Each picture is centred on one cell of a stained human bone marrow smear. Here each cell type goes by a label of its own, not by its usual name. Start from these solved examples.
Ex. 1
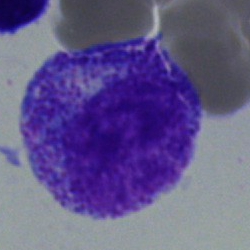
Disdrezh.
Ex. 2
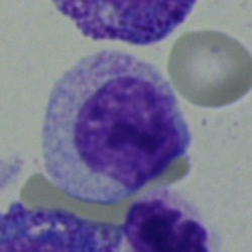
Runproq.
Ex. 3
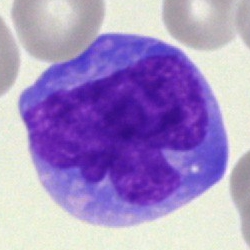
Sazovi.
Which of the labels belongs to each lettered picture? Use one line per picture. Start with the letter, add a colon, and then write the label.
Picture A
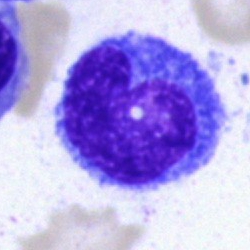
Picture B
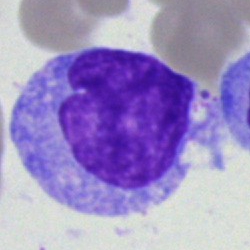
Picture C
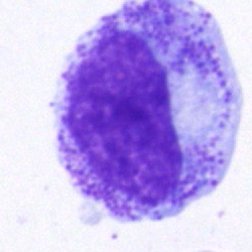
A: Sazovi.
B: Sazovi.
C: Disdrezh.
